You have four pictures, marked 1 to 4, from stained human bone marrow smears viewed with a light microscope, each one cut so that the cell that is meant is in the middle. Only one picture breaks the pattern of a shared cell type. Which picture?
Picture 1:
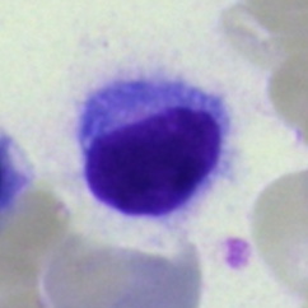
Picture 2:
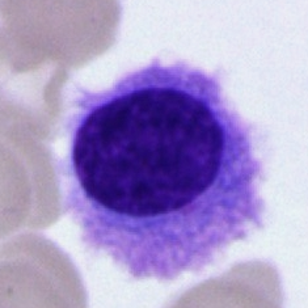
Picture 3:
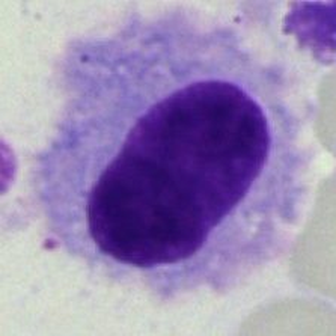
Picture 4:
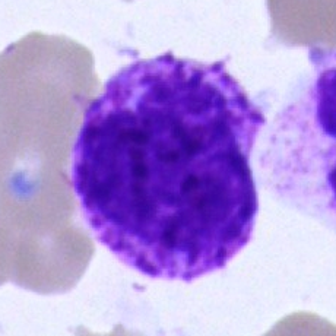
4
